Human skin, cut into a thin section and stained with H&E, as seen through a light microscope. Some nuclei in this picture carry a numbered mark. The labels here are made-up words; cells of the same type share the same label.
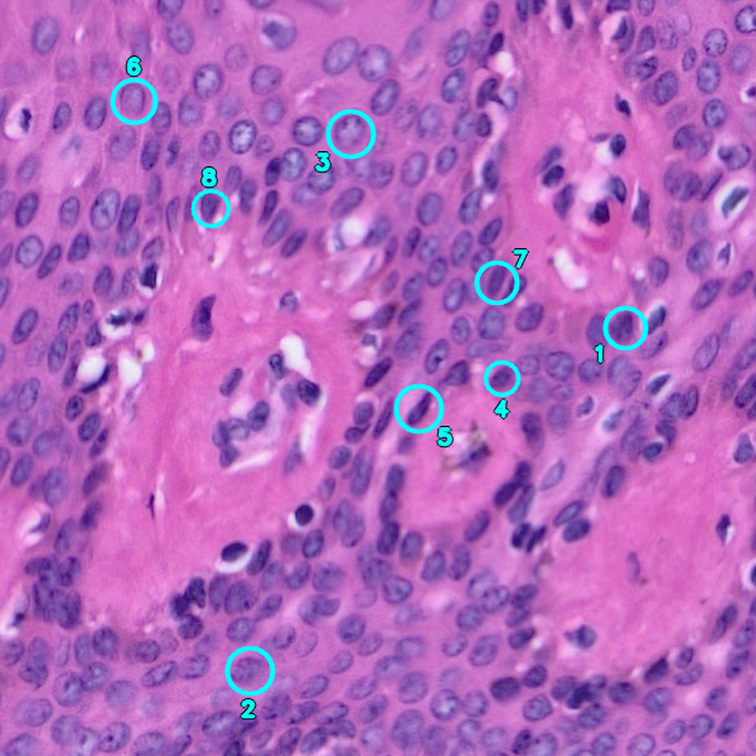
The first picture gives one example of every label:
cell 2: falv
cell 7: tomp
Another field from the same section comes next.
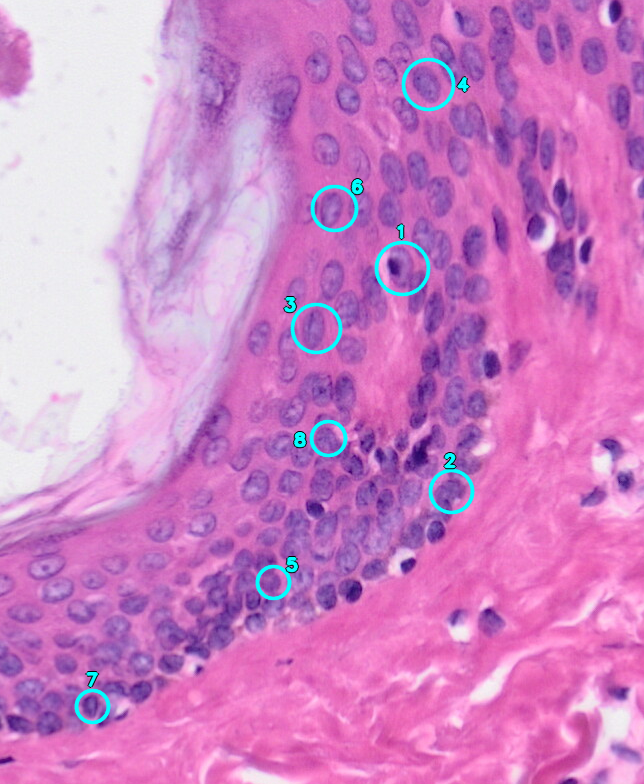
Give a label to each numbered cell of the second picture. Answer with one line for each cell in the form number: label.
1: tomp
2: tomp
3: falv
4: falv
5: tomp
6: falv
7: tomp
8: tomp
